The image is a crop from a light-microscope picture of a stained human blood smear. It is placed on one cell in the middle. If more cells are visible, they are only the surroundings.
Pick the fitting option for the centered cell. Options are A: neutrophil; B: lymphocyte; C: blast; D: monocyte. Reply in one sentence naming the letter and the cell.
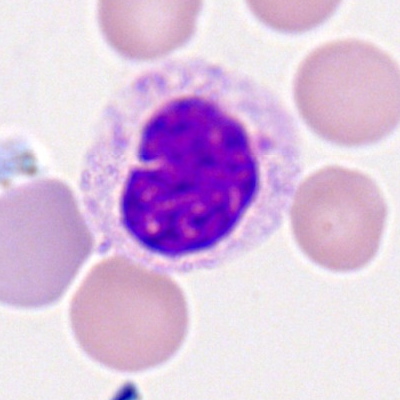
As the central cell is a neutrophil, option A is correct.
